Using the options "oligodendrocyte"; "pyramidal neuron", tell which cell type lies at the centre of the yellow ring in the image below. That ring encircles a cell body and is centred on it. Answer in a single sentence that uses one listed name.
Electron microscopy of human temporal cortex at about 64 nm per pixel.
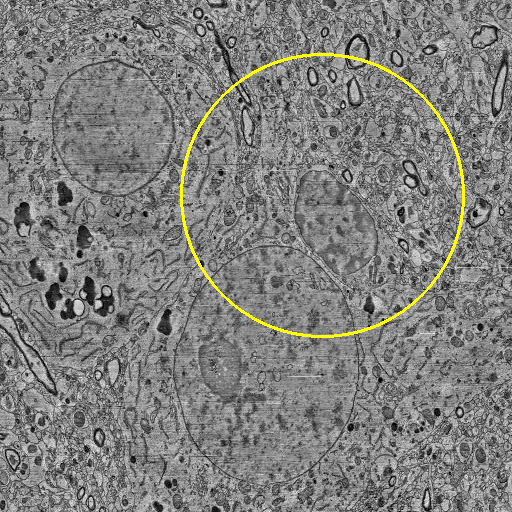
At the centre of the yellow ring lies the body of an oligodendrocyte.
